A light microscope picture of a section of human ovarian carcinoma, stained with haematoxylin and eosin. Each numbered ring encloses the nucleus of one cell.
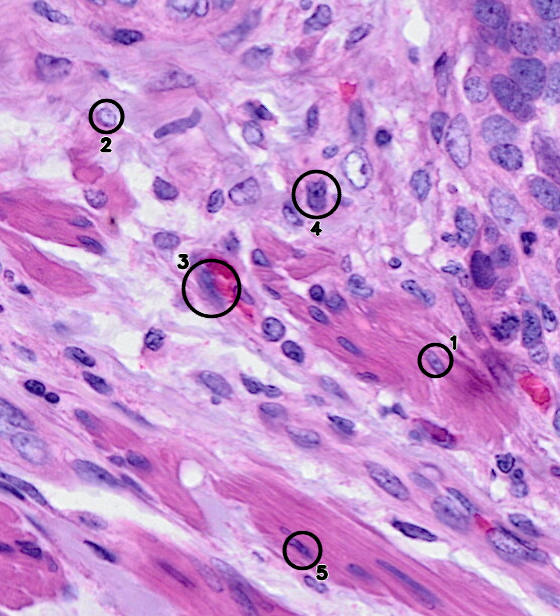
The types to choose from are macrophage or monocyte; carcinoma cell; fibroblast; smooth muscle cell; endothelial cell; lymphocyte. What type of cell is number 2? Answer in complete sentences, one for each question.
Here, the cell given the number 2 is a fibroblast.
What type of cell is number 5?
The cell that is numbered 5 is a smooth muscle cell.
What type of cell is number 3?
The numbered cell 3 in this field is an endothelial cell.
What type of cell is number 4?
Recognised here as a macrophage or monocyte is the cell numbered 4.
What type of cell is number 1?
In this section, the cell tagged 1 is a smooth muscle cell.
